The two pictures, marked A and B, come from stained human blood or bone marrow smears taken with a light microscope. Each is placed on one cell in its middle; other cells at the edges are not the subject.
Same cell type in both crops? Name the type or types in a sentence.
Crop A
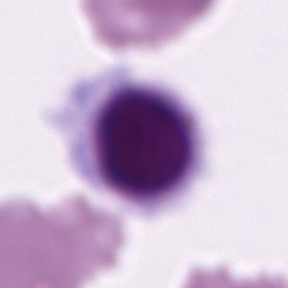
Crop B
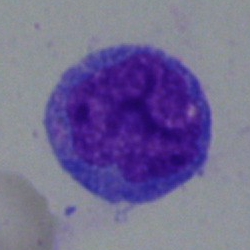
No, in crop B the central cell is a blast, and in crop A it is a hairy cell.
